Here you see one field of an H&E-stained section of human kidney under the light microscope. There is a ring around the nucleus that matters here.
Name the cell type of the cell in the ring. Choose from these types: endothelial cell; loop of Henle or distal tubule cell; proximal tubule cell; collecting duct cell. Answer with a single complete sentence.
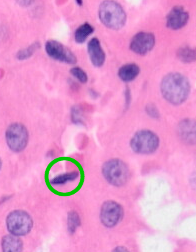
Considered by cell type, the cell in the ring is an endothelial cell.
